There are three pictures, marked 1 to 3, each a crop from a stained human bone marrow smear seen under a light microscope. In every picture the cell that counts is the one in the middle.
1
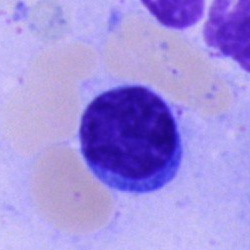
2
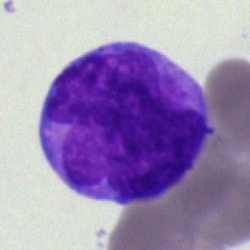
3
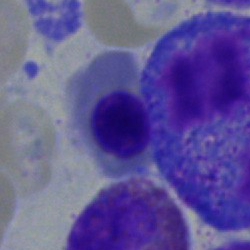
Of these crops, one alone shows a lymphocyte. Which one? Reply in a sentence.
The one crop that shows a lymphocyte is crop 1.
